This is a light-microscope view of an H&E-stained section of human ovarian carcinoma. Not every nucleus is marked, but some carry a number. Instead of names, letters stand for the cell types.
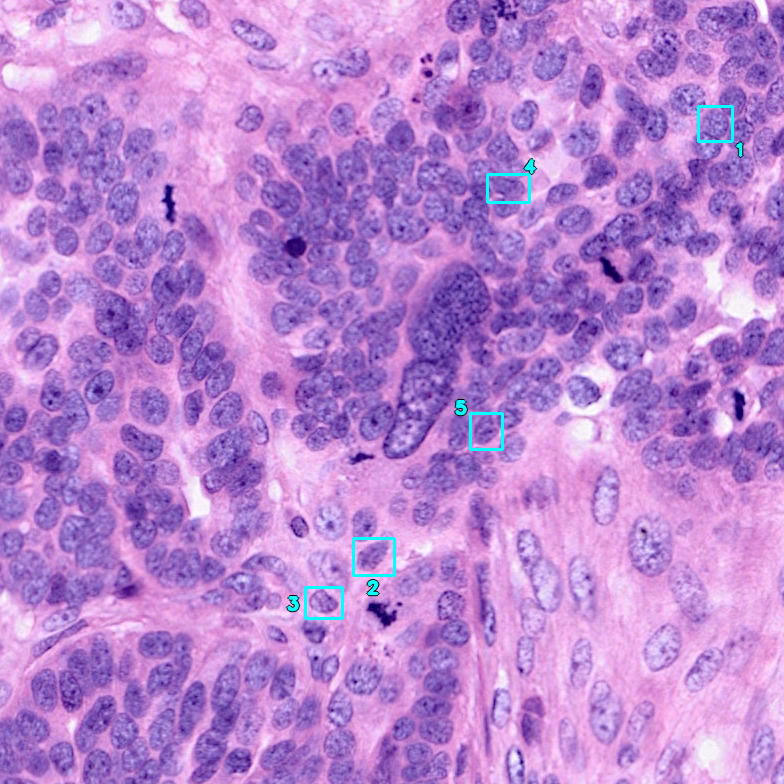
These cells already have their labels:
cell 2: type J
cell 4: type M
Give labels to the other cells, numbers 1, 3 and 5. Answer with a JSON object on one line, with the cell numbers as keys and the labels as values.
{"1": "type M", "3": "type J", "5": "type M"}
